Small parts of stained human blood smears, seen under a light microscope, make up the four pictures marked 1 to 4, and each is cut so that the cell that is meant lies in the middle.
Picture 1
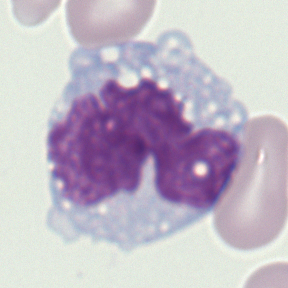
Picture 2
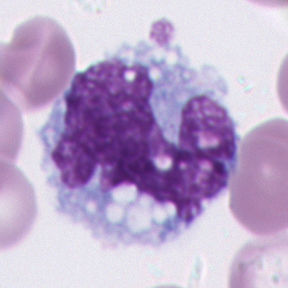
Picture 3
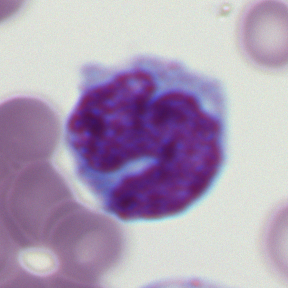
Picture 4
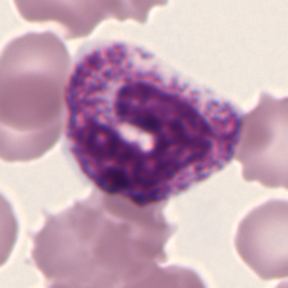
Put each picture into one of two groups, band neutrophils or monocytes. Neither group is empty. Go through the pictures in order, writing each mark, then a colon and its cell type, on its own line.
1: monocyte
2: monocyte
3: monocyte
4: band neutrophil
